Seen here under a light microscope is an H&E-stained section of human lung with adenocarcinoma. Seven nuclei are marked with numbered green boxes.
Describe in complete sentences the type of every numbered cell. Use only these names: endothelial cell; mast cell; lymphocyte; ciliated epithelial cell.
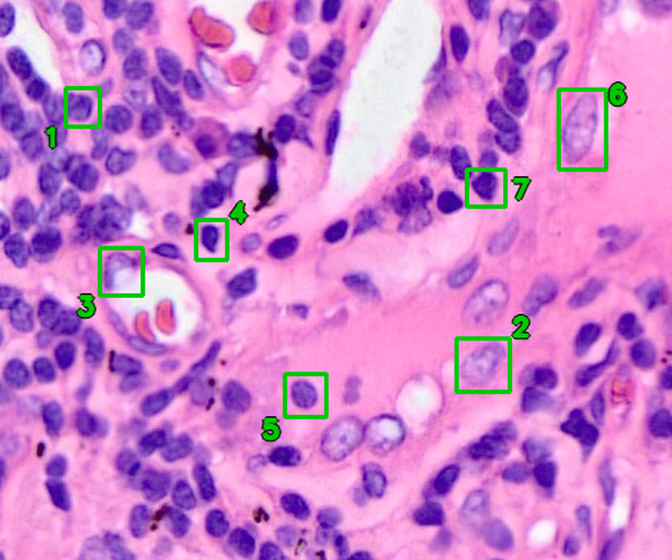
Cells 1, 4, 5 and 7 are lymphocytes. Cells 2, 3 and 6 are endothelial cells.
